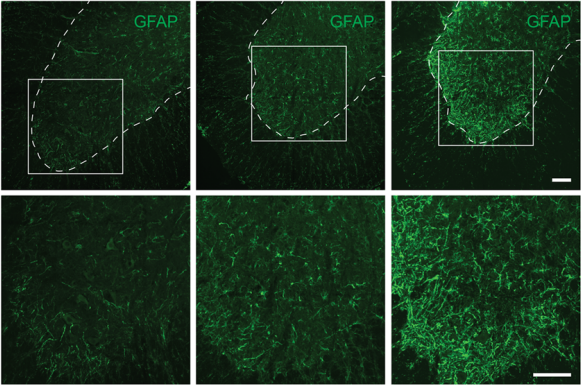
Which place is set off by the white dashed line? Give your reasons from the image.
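The enclosed region is bordered by less densely stained tissue outside it.
Hence: ventral horn.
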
